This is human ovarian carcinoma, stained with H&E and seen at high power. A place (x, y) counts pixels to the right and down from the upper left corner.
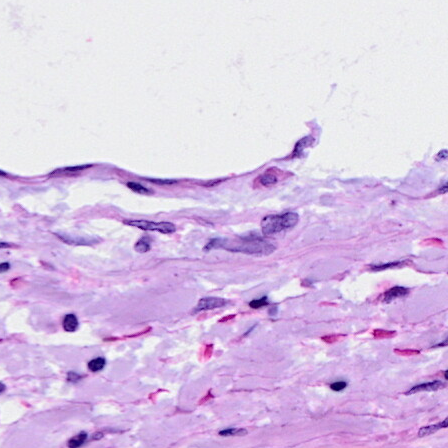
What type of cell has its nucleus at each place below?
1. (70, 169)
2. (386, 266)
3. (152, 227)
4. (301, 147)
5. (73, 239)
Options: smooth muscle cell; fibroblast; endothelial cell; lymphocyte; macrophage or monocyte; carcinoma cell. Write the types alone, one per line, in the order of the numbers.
endothelial cell
fibroblast
macrophage or monocyte
endothelial cell
fibroblast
